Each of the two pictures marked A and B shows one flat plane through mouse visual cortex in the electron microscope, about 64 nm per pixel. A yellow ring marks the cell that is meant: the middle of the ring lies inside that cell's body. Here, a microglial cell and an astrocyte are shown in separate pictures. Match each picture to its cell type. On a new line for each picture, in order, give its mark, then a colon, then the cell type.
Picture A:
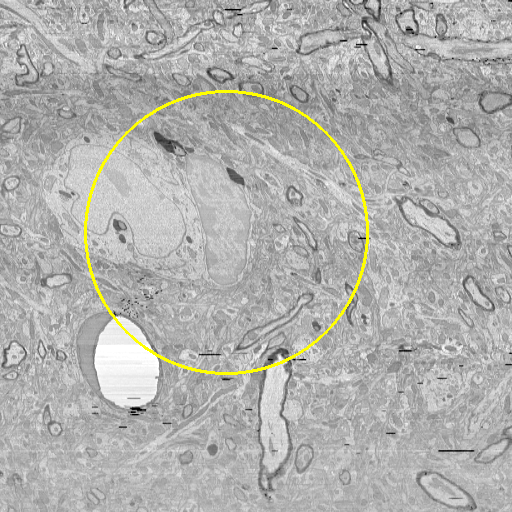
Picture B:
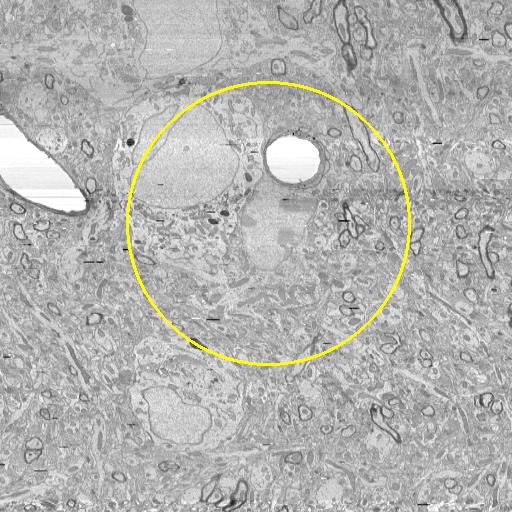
A: microglial cell
B: astrocyte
